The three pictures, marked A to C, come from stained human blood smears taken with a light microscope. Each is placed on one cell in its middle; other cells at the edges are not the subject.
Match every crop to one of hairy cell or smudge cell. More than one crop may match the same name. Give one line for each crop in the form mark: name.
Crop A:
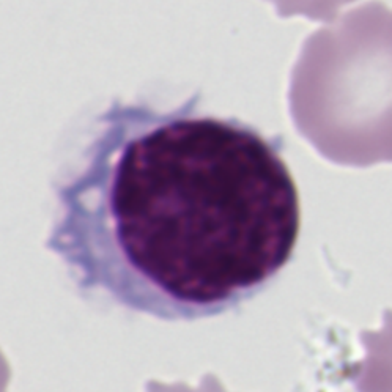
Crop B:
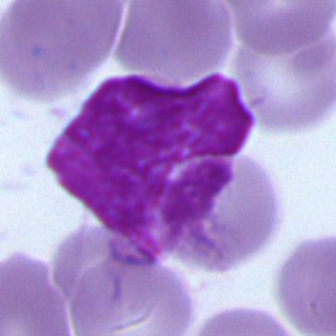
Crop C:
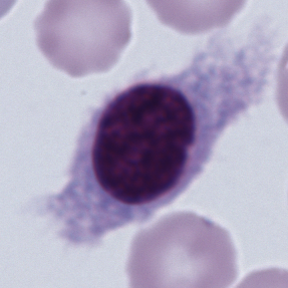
A: hairy cell
B: smudge cell
C: hairy cell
